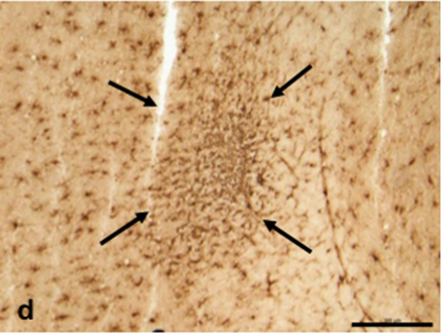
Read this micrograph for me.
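Throughout the field, single brown cells are evenly spaced, each with a small body and thin, branching processes. In the middle, brown-stained cells are packed into a dense, oval focus. They are crowded together, and their processes form a dark, tangled mesh. Near the edge of this focus the stained cells are more numerous than in the tissue farther away. A white crack-like gap runs alongside the focus.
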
